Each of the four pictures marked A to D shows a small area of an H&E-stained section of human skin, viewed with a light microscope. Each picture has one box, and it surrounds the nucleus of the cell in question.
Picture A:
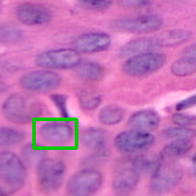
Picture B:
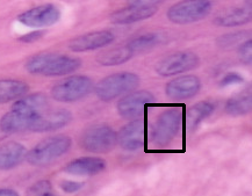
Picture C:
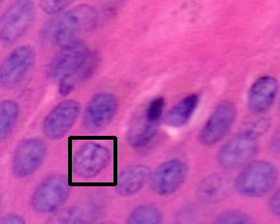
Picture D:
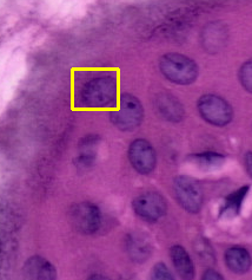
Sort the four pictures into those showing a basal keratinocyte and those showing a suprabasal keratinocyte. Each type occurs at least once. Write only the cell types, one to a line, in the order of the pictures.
basal keratinocyte
basal keratinocyte
suprabasal keratinocyte
suprabasal keratinocyte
